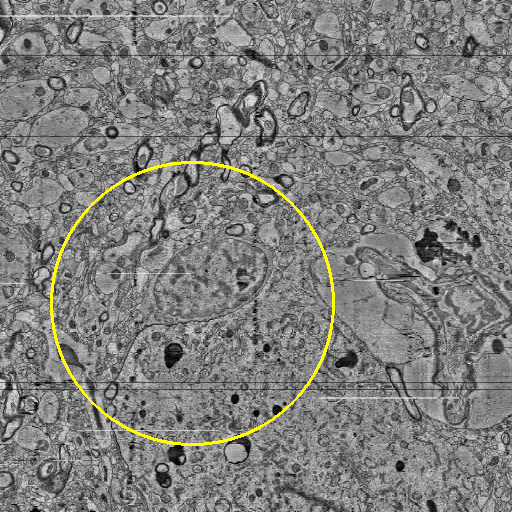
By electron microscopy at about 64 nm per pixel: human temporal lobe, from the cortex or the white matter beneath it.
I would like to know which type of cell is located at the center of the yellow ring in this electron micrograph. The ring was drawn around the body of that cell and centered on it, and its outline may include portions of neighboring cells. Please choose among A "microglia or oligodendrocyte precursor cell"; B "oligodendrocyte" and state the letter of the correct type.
B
